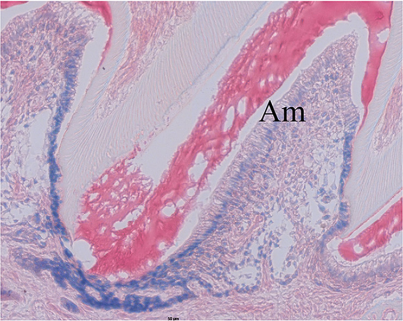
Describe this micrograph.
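This is the cusp region of a developing molar, where a thick, porous red-stained matrix lies against pale striated dentin. A dark blue-stained band of epithelial cells wraps around the base of the fold, while the epithelium alongside the thicker red matrix is paler.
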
